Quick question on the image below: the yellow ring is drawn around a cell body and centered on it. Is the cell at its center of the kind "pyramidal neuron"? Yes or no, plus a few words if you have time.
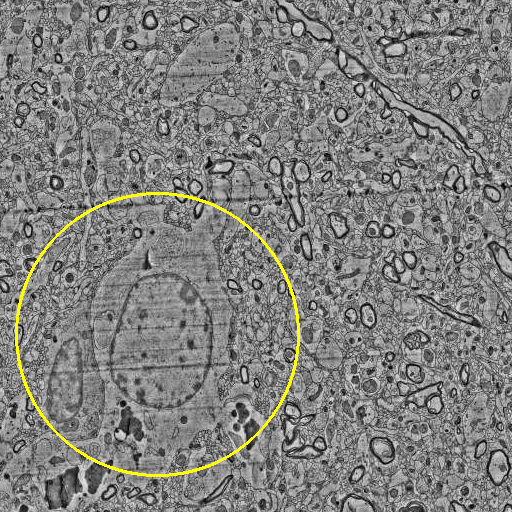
No, the cell at the center is of another kind.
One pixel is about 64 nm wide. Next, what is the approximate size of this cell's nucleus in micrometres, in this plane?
In this plane, roughly 9 by 6 micrometres.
